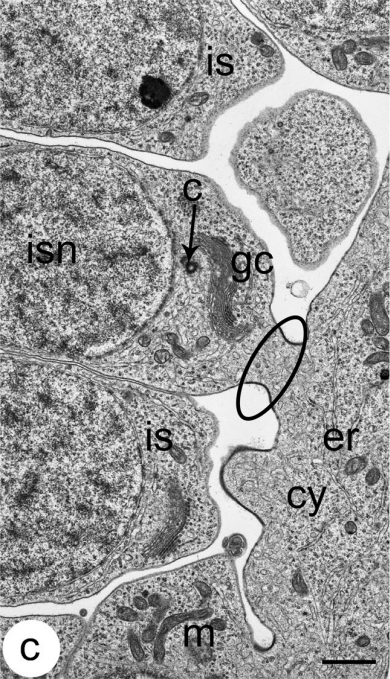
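Young isodiametric spermatids with large, round, finely granular nuclei lie around a central anuclear cytophore. A curved Golgi stack and a small centriole sit beside the nucleus, and elongated mitochondria lie in the cytoplasm. A narrow intercellular bridge joins one spermatid to the cytophore, which holds strands of endoplasmic reticulum.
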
